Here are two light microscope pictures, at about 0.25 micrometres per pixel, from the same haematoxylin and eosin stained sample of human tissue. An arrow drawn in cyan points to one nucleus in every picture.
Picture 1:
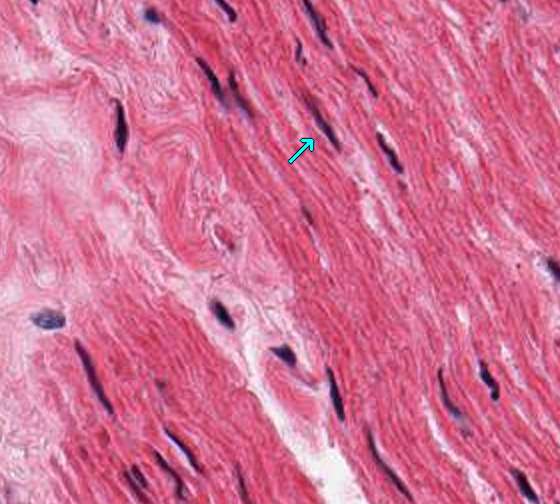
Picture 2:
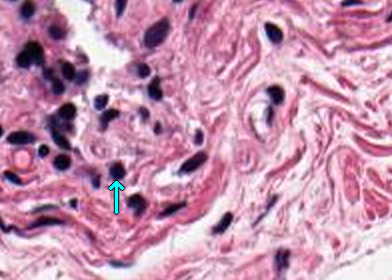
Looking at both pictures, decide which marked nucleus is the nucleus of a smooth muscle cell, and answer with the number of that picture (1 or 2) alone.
1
